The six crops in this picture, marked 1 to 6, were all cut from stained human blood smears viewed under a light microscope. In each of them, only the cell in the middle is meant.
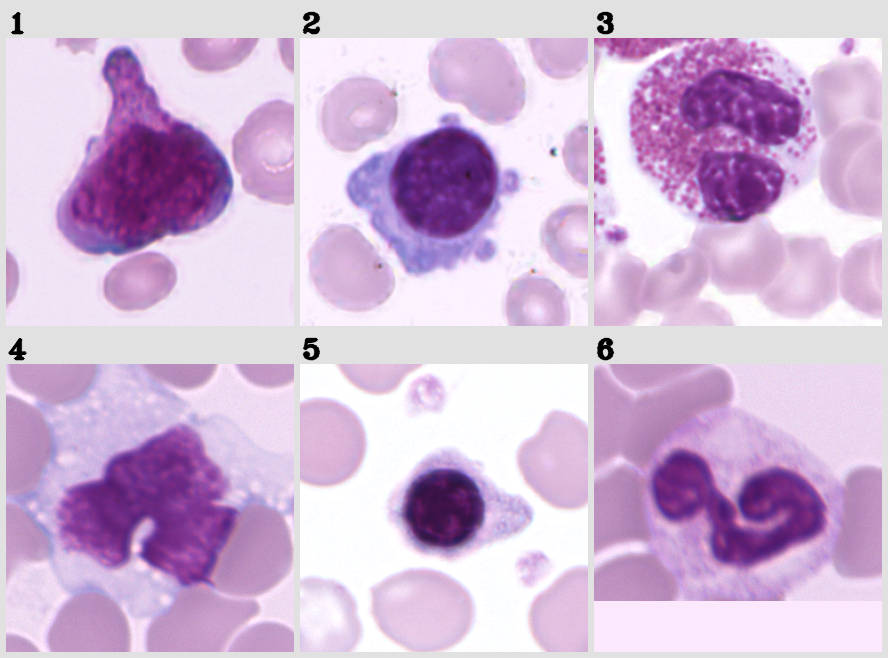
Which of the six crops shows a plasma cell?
2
